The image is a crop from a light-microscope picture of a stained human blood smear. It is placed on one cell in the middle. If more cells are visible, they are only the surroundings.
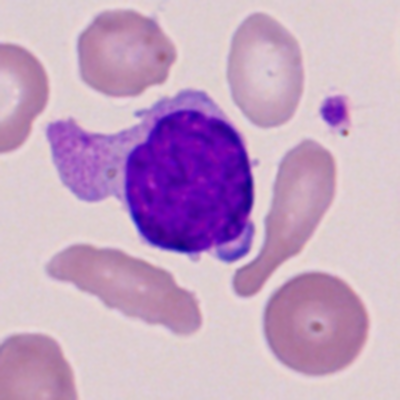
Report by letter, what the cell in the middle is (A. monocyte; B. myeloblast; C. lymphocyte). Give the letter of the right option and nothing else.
C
